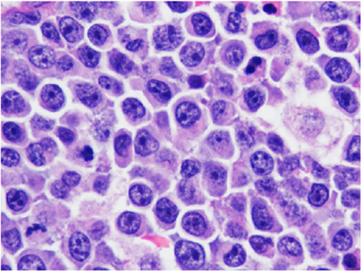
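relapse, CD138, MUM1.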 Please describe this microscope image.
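This is a high-power view of a large cell tumour made of sheets of plasmablastic cells. The cells are large and round, lying close together, each with a round nucleus set off to one side and a rim of pink to purple cytoplasm. Nuclei have open chromatin and many show a distinct central nucleolus. Scattered among them are cells with dense, dark, clumped chromatin, consistent with mitotic figures, and toward one side a paler larger cell with abundant cytoplasm, likely a tingible body macrophage. There is little stroma between the cells.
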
